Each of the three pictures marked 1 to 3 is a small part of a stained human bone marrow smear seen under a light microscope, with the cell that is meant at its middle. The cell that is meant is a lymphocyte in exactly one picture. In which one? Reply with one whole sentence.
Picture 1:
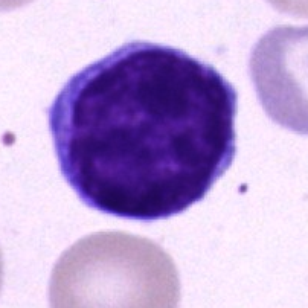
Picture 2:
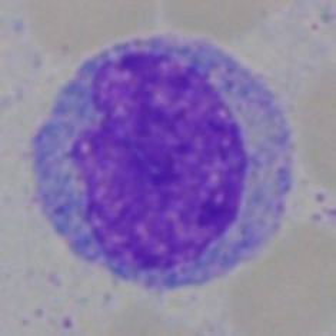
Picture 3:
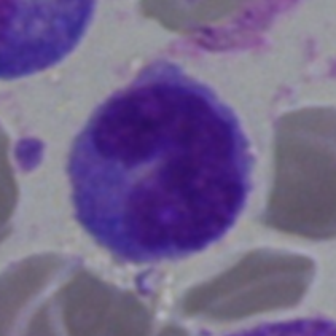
The picture with the lymphocyte is 1.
